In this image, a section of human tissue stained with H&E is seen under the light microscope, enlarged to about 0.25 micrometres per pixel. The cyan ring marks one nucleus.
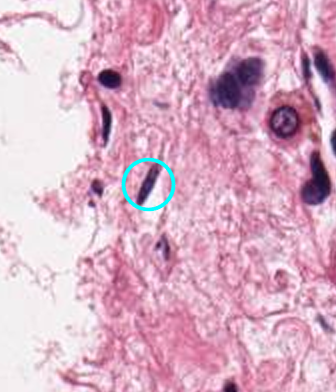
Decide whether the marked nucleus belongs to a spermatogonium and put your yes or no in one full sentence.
No, a supporting cell is the one to which the marked nucleus belongs, not a spermatogonium.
